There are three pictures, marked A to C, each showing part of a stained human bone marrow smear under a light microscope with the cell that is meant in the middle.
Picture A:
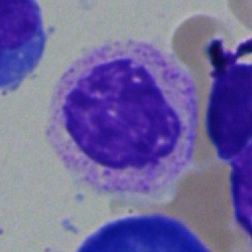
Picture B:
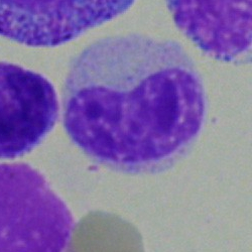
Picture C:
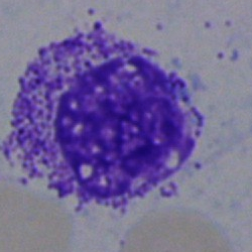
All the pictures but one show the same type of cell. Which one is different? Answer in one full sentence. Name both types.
Unlike the rest, which show myelocytes, picture B shows a metamyelocyte.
